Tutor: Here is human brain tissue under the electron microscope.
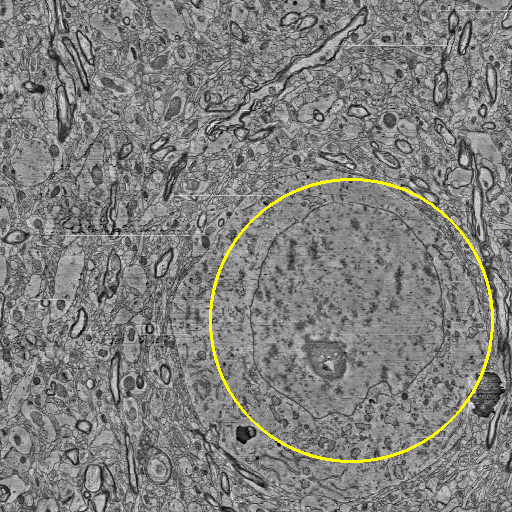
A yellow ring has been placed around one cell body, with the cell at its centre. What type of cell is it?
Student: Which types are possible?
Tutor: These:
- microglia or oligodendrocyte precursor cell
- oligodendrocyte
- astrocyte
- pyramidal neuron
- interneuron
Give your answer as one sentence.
What the ring picks out here is a pyramidal neuron.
